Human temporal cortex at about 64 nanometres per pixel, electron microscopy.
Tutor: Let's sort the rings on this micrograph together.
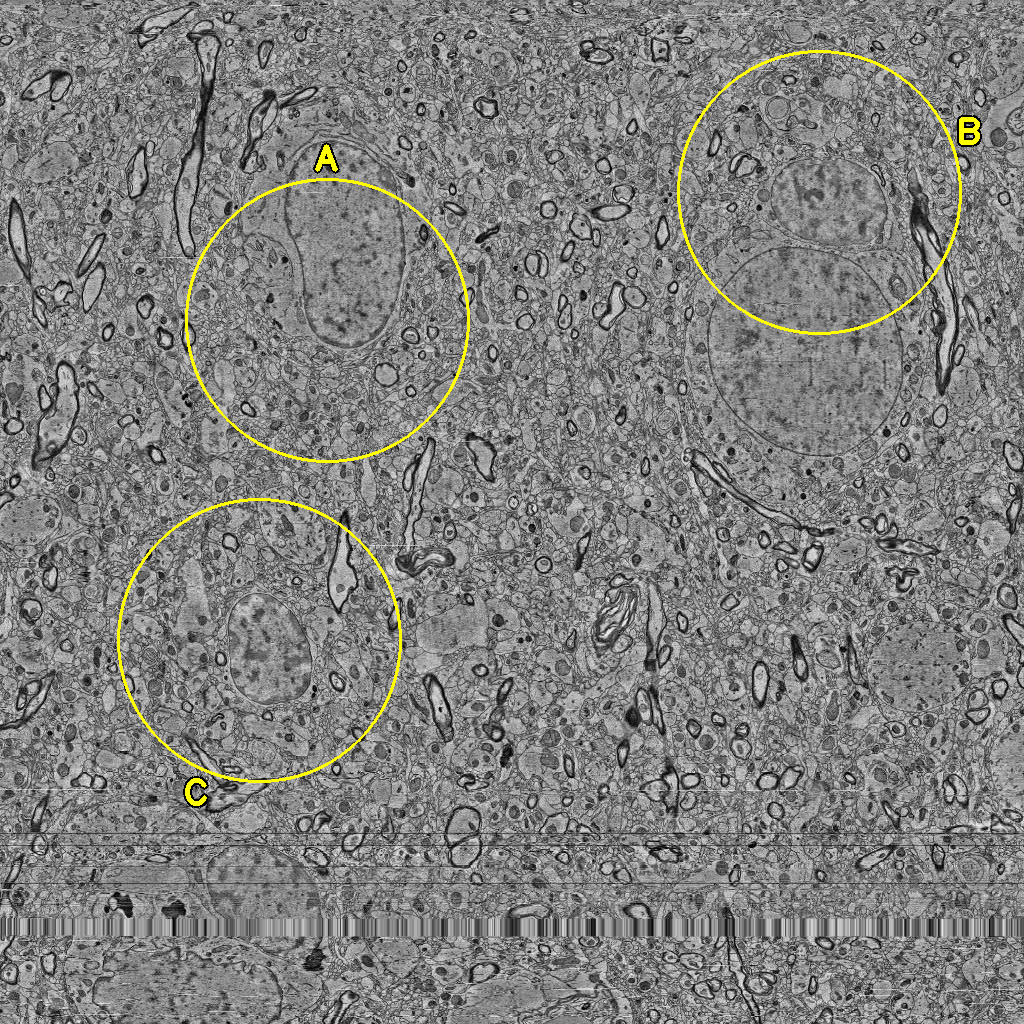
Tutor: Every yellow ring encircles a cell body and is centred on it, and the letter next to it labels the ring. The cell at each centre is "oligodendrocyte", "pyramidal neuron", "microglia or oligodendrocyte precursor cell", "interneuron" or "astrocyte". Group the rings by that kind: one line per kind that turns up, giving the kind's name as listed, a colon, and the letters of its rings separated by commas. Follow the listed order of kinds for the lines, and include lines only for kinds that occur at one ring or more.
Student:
oligodendrocyte: B
microglia or oligodendrocyte precursor cell: A, C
